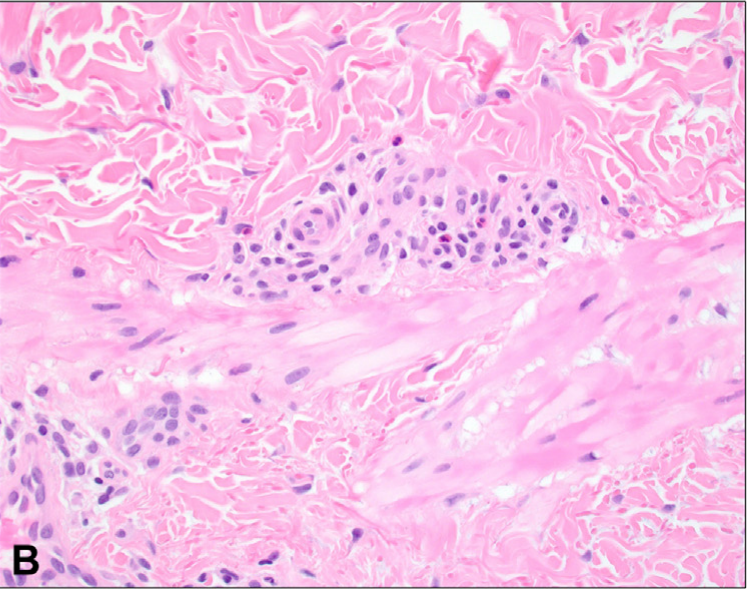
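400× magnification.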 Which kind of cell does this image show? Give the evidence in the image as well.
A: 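Within a small cluster of cells around a vessel, a few cells have bright red granular cytoplasm. On this evidence: eosinophils.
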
